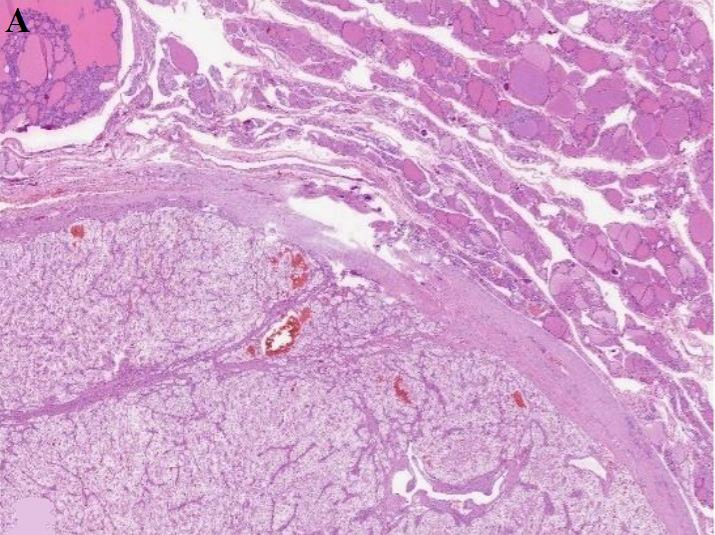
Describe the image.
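At low power, a pale, finely textured neoplastic lesion fills the lower part of the field. It is sharply bounded by a dense pink band of fibrous connective tissue. Above the band lies thyroid parenchyma made of rounded follicles of varying size, filled with pink colloid and lined by a thin layer of cells.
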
